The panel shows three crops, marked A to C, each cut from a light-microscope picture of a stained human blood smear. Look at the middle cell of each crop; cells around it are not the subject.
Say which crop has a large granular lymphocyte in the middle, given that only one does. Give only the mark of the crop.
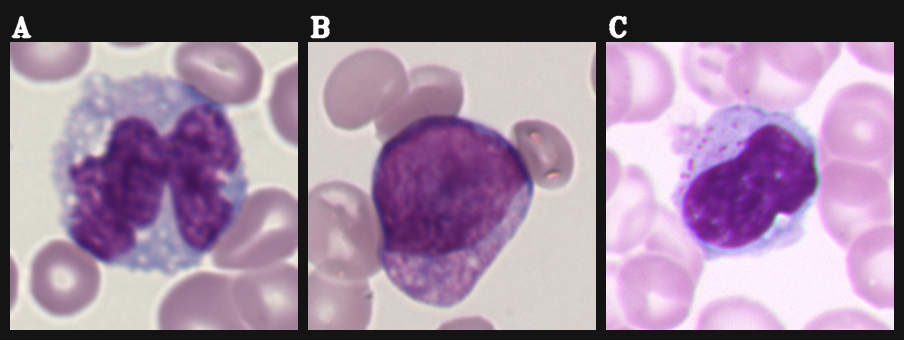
C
